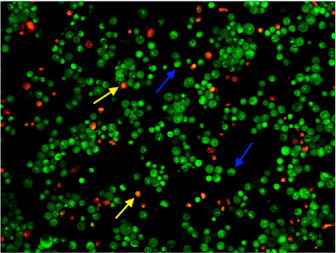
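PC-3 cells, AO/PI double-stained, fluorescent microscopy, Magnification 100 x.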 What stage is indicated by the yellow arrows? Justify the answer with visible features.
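Late apoptosis cells. The arrowed cells are small and orange-red. They are smaller than the round green cells around them.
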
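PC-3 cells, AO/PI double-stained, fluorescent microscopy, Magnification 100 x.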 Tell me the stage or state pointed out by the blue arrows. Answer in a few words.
Early apoptotic cells.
